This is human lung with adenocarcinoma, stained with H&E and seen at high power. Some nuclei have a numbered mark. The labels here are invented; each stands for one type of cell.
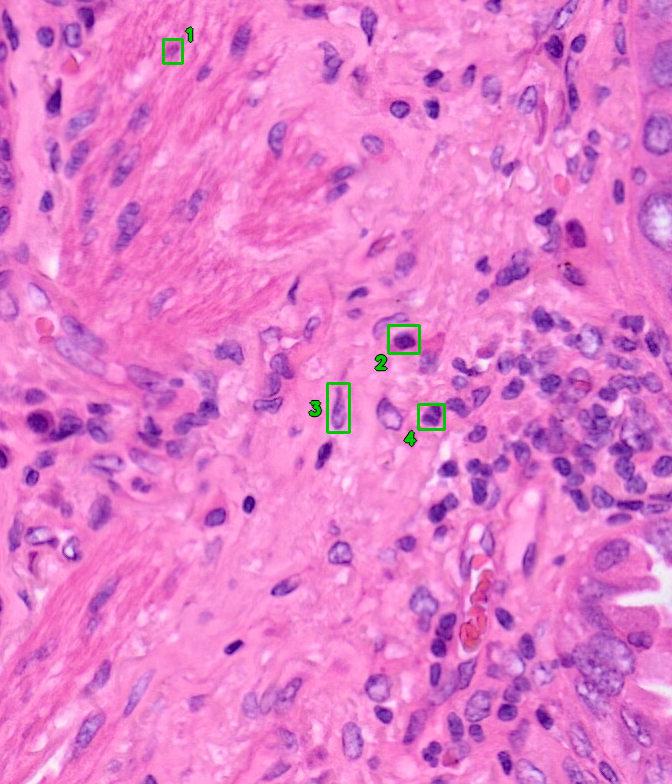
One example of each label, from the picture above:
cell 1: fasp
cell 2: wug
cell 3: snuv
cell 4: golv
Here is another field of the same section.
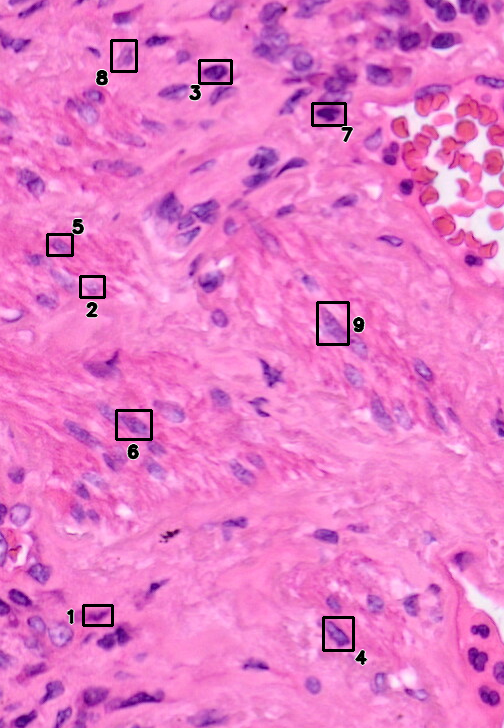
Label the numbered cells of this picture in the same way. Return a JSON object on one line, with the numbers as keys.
{"1": "wug", "2": "fasp", "3": "wug", "4": "fasp", "5": "fasp", "6": "fasp", "7": "wug", "8": "snuv", "9": "fasp"}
